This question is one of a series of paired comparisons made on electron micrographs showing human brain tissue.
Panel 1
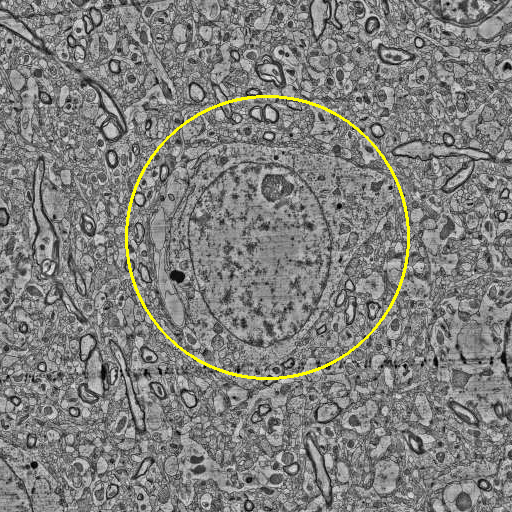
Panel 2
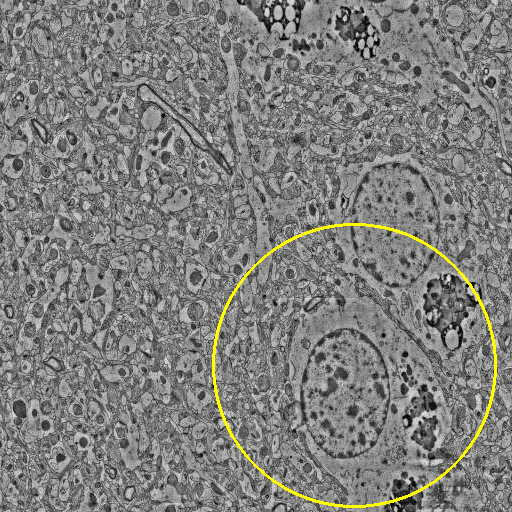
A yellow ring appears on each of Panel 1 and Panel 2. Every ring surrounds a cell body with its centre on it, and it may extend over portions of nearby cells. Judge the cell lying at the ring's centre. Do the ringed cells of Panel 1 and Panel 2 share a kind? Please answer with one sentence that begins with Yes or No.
No, the ring-centre cell in Panel 1 and the one in Panel 2 are of two kinds.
